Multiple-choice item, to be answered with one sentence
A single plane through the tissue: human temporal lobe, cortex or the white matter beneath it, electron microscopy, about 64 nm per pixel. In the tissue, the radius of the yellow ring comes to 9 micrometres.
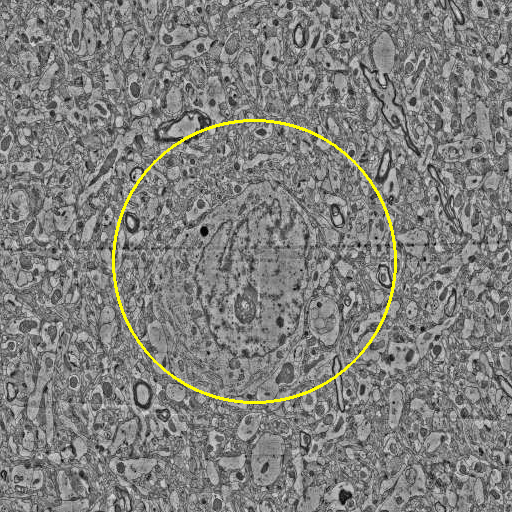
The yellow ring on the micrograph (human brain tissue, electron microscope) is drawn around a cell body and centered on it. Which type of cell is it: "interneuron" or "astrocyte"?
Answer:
The ring is centered on an interneuron.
